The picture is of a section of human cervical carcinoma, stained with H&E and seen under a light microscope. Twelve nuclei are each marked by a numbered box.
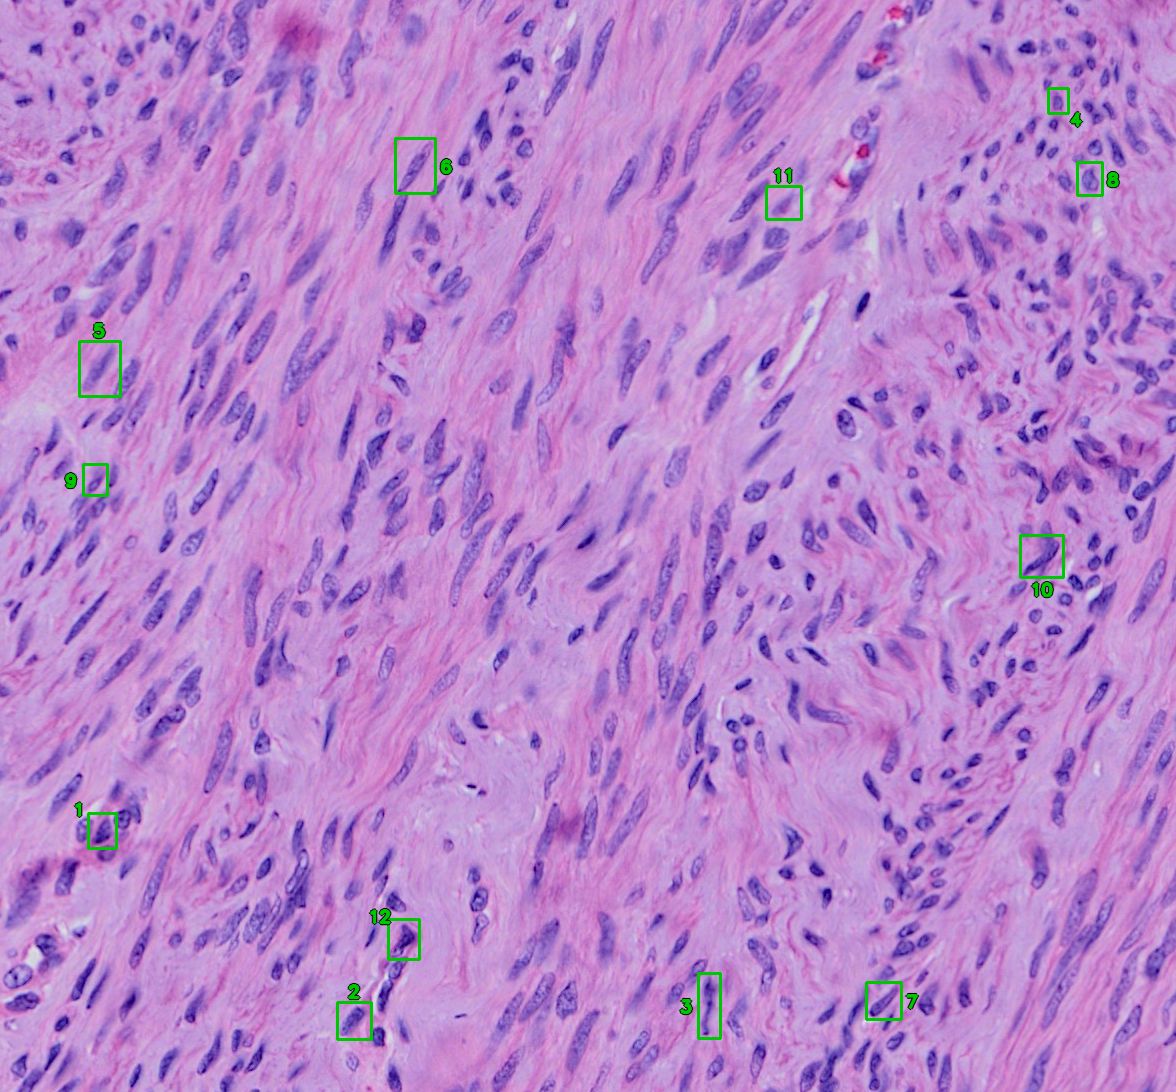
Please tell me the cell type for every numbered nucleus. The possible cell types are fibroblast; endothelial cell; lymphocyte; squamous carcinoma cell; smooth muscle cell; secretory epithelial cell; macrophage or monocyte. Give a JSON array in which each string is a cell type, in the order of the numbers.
["endothelial cell", "endothelial cell", "smooth muscle cell", "smooth muscle cell", "smooth muscle cell", "smooth muscle cell", "fibroblast", "smooth muscle cell", "smooth muscle cell", "smooth muscle cell", "fibroblast", "endothelial cell"]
